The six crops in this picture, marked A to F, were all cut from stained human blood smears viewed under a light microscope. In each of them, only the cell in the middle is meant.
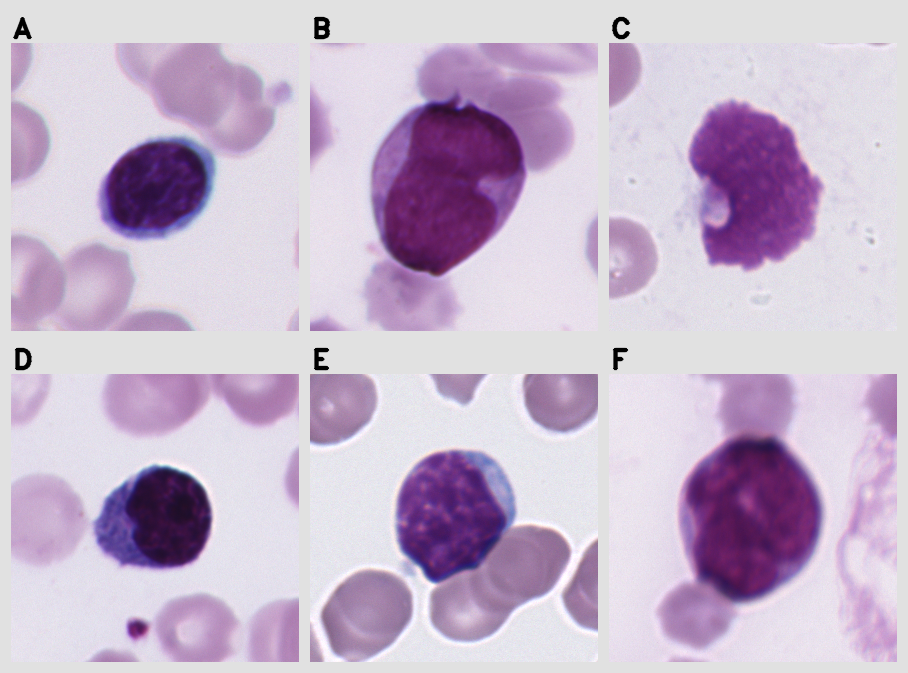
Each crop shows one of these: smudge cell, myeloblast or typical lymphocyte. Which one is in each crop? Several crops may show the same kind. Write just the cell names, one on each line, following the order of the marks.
typical lymphocyte
myeloblast
smudge cell
typical lymphocyte
typical lymphocyte
myeloblast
